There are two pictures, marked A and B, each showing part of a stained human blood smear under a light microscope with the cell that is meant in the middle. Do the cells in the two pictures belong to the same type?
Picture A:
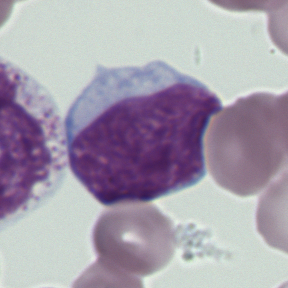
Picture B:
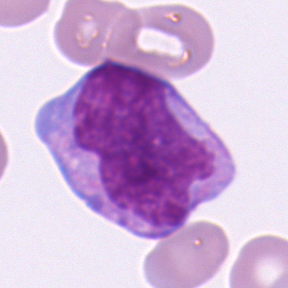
no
